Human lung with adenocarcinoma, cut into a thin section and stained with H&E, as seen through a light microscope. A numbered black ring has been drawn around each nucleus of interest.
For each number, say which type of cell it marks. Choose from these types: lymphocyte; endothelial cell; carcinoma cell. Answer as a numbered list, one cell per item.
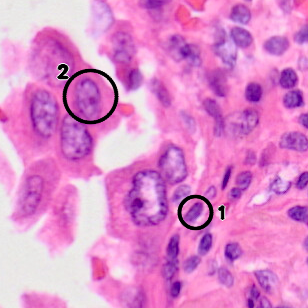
1. lymphocyte
2. carcinoma cell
